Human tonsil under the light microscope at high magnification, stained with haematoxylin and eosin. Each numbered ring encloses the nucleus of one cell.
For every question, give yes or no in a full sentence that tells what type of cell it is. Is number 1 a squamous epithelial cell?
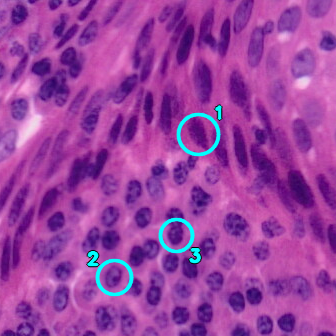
Yes, the cell sitting at number 1 is a squamous epithelial cell.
